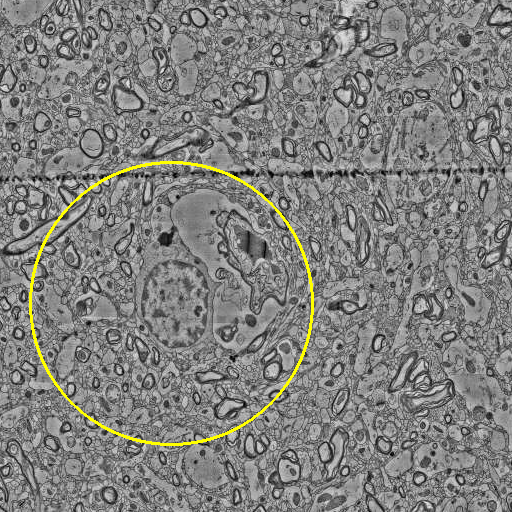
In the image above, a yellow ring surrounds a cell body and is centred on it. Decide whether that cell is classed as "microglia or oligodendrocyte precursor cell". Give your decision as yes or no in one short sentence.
No, it belongs to another kind of cell.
